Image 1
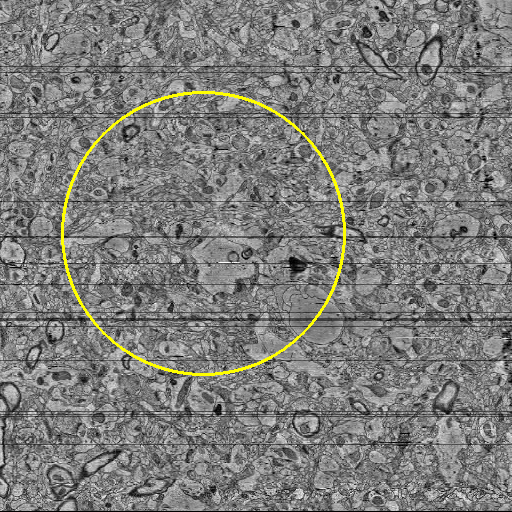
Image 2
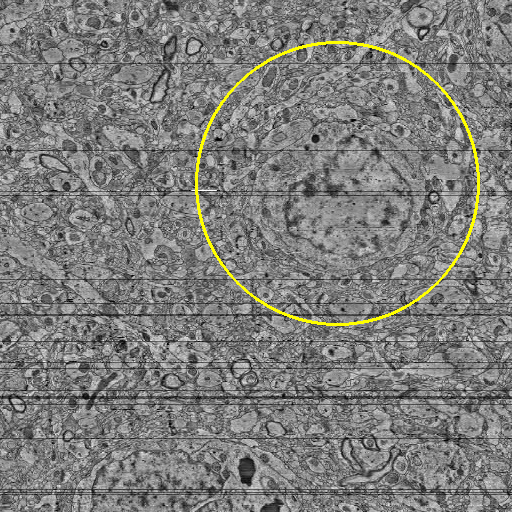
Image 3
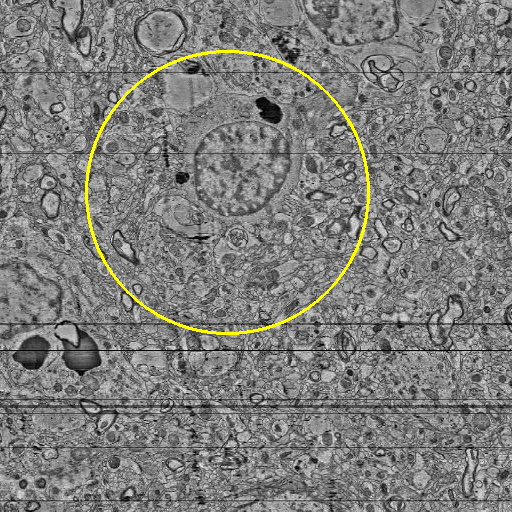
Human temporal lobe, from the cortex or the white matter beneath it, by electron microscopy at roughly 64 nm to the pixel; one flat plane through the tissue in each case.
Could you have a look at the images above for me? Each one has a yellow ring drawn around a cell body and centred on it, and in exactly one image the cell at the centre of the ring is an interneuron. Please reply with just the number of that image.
2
